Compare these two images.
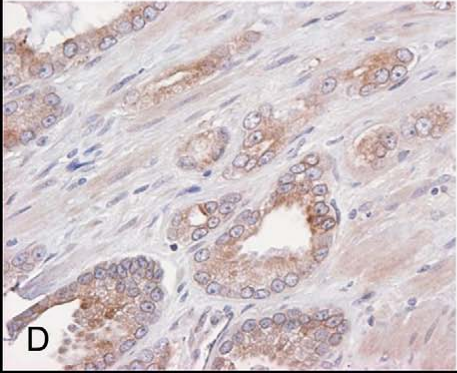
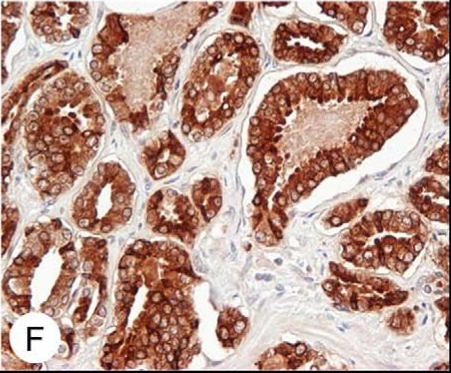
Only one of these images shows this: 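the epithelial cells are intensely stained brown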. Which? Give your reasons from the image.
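The second image. Second image: gland cells are filled with dark brown stain. First image: gland cells show only a faint pale brown tint.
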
